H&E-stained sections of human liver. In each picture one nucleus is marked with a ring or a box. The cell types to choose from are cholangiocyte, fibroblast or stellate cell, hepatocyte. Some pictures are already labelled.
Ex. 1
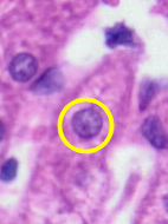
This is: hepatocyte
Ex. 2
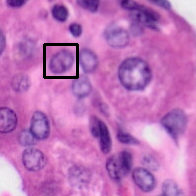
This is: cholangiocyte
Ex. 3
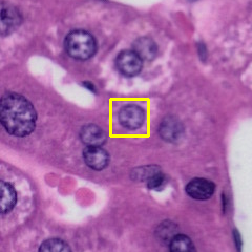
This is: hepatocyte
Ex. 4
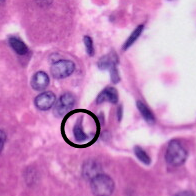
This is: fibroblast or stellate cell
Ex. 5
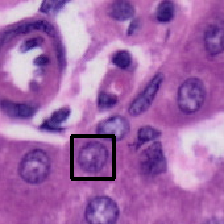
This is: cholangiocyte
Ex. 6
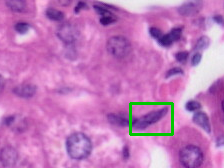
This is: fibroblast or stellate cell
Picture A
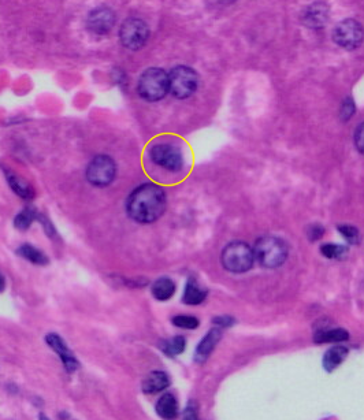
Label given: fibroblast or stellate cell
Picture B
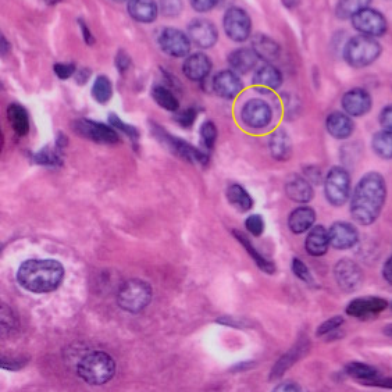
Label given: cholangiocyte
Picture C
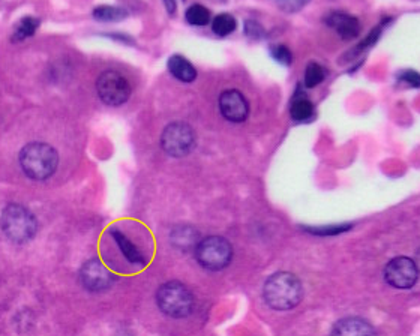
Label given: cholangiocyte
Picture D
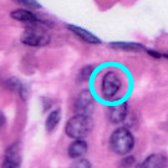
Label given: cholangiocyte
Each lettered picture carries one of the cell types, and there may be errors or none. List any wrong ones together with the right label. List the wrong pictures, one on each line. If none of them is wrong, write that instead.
C: not cholangiocyte but fibroblast or stellate cell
